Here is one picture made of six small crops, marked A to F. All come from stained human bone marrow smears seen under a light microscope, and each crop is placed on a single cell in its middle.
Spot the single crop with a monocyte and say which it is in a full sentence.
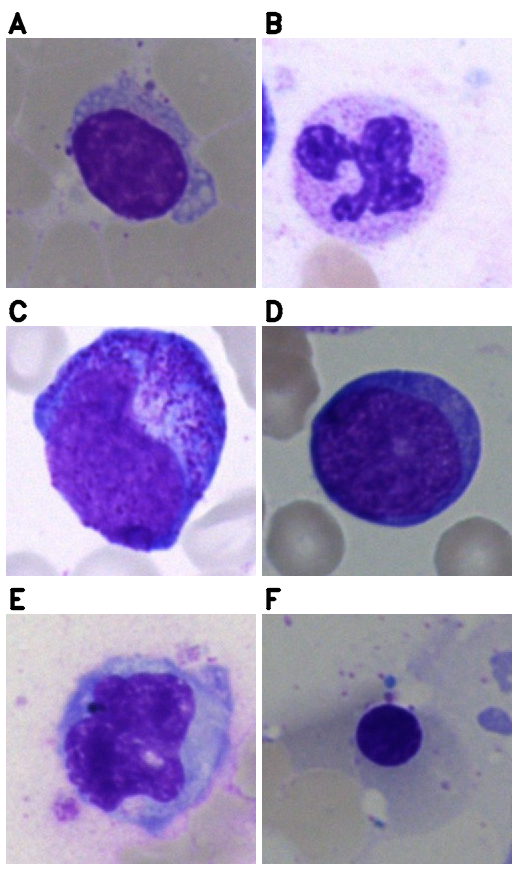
The one that shows a monocyte is crop E.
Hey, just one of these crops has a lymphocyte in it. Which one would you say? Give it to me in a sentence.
The crop marked A is the one that shows a lymphocyte.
